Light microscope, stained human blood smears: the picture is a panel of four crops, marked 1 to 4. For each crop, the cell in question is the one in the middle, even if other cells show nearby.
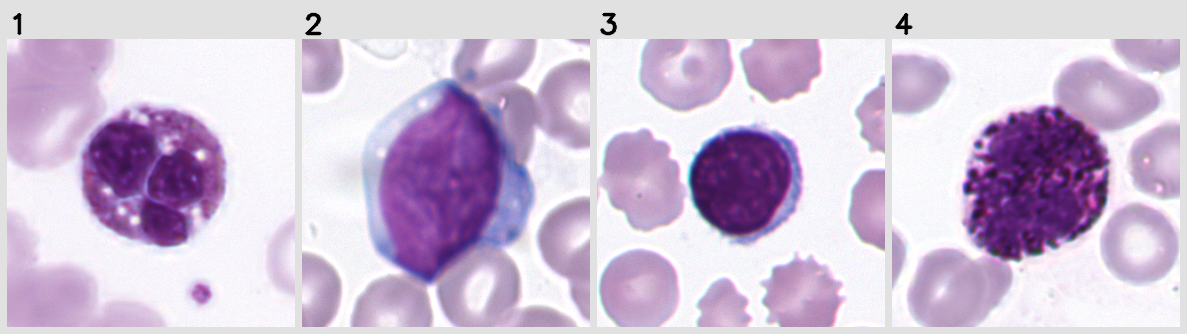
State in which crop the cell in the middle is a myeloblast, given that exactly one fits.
2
